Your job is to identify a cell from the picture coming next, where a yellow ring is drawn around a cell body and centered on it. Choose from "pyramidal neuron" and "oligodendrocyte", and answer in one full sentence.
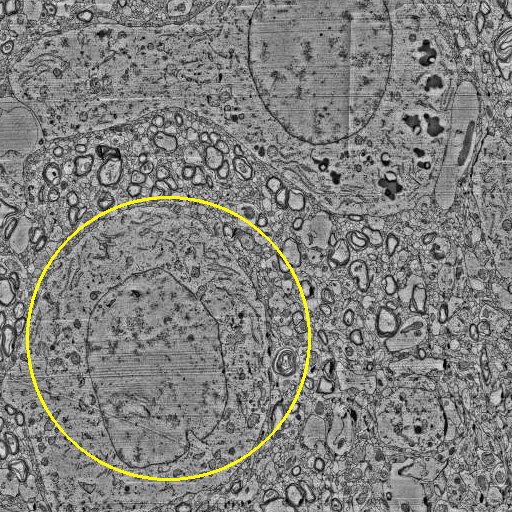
Centered in the yellow ring of the picture is the body of a pyramidal neuron.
